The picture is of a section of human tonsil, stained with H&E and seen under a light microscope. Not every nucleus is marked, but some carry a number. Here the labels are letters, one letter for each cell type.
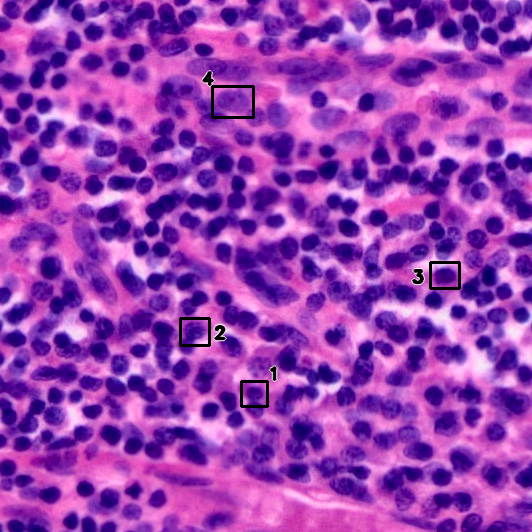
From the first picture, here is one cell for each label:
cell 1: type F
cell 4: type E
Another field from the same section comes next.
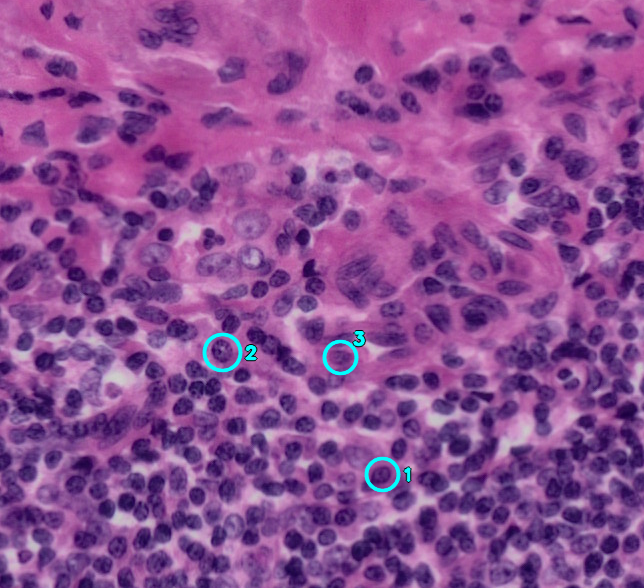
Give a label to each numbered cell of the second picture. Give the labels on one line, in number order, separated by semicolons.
type F; type F; type E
